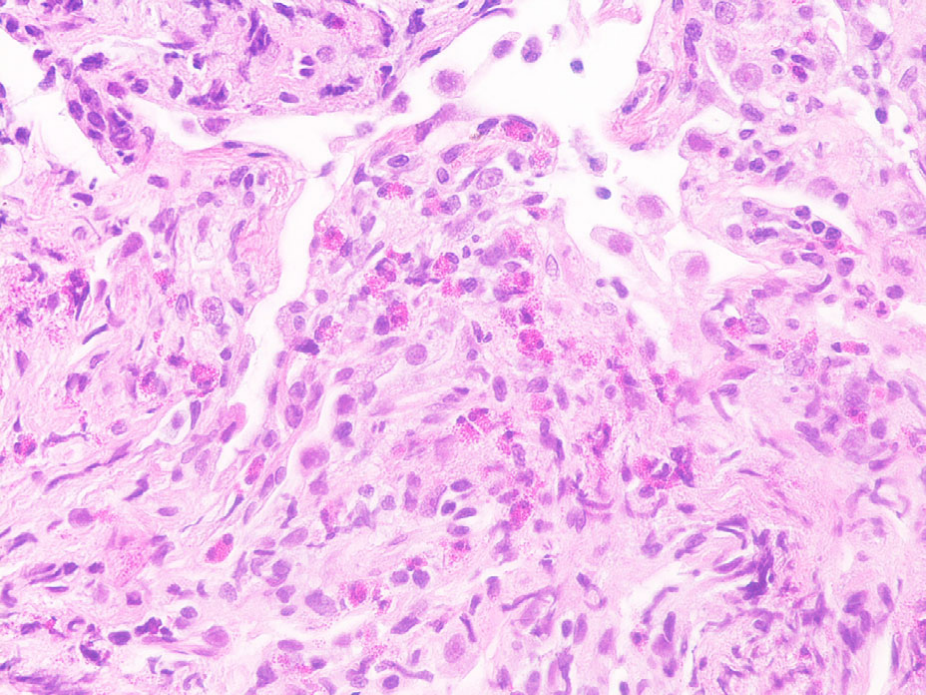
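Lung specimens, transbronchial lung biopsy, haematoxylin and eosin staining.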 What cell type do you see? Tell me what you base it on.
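Many cells in the septal tissue have cytoplasm packed with coarse bright red-pink granules. These granulated cells have small, lobed, dark nuclei. The answer: eosinophil.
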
